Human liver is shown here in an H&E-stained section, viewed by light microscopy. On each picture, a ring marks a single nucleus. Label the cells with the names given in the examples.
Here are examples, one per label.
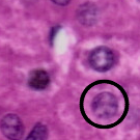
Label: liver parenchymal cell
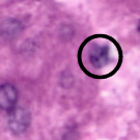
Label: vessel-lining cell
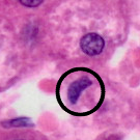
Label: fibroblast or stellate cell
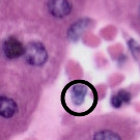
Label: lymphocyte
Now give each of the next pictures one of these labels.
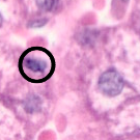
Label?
fibroblast or stellate cell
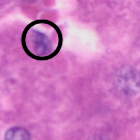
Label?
vessel-lining cell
